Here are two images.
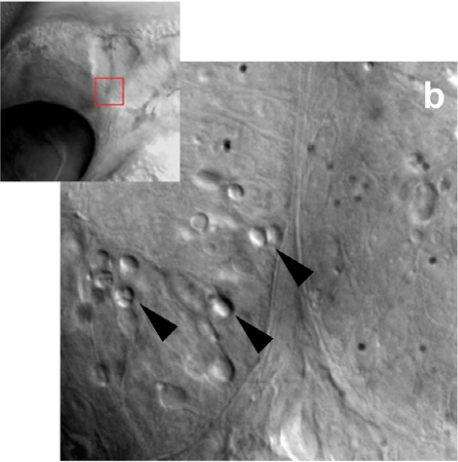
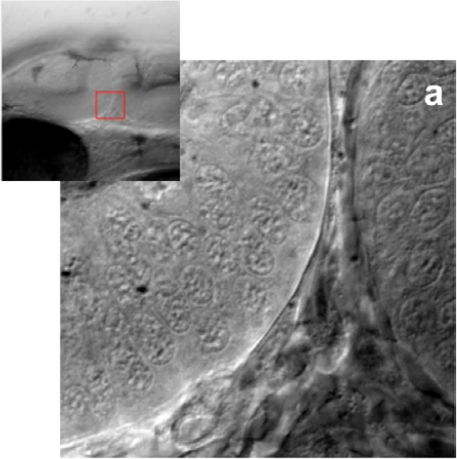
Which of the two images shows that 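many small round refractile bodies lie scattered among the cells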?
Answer: the first image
